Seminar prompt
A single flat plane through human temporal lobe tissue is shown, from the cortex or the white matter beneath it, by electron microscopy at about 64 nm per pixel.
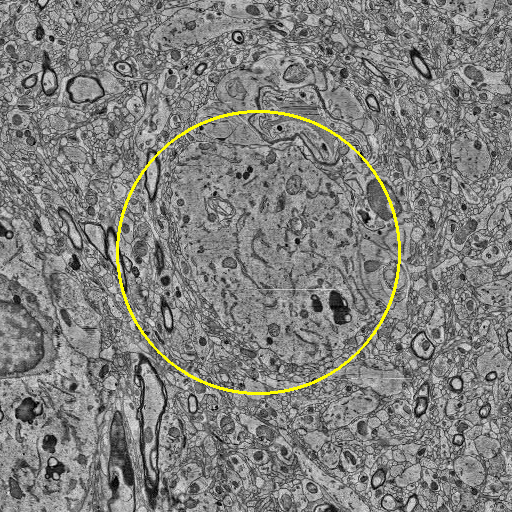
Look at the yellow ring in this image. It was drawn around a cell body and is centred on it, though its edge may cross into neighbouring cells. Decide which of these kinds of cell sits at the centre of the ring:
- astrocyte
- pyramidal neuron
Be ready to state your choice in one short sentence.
The kind of cell at the ring's centre is a pyramidal neuron.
